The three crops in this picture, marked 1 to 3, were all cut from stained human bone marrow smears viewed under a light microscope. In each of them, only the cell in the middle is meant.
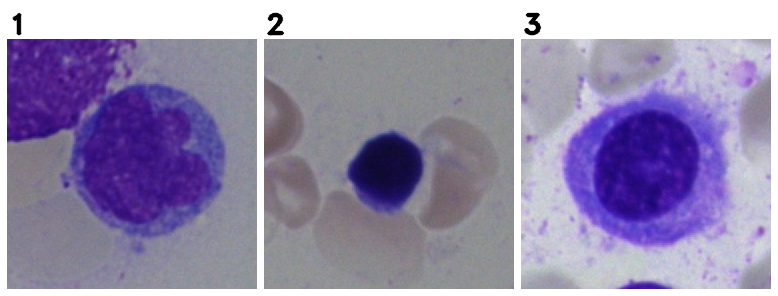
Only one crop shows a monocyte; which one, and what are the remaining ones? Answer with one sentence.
In crop 1 there is a monocyte, while crop 2 is a lymphocyte and crop 3 is a plasma cell.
